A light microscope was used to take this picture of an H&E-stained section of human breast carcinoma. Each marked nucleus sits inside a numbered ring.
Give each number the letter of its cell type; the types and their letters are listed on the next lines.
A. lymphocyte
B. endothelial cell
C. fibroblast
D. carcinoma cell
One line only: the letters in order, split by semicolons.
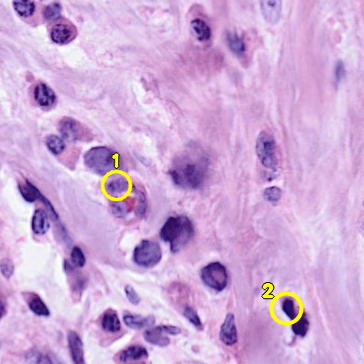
B; A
